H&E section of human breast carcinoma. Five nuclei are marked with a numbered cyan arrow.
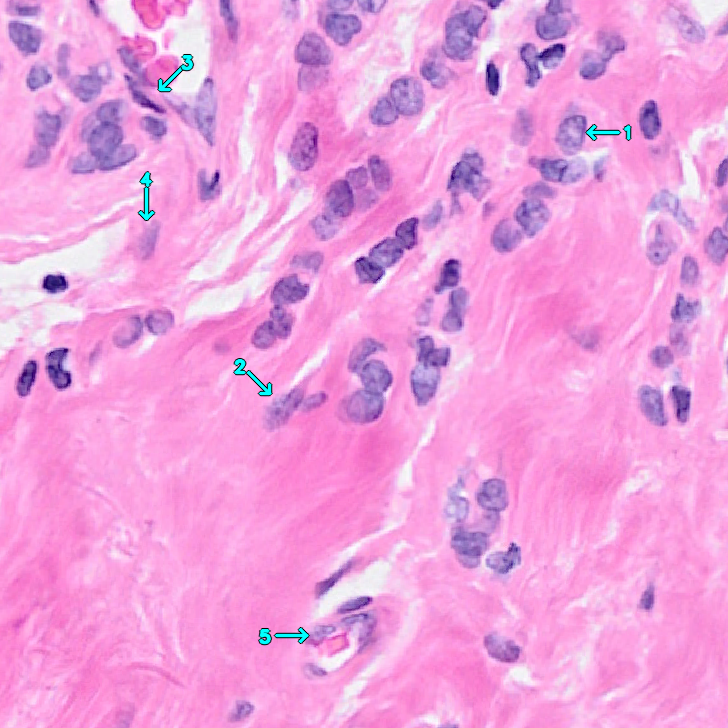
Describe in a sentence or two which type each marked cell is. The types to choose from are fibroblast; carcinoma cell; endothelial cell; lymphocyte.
Cell 1 is a carcinoma cell, cell 2 is a fibroblast, cell 3 is an endothelial cell, cell 4 is a fibroblast and cell 5 is an endothelial cell.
